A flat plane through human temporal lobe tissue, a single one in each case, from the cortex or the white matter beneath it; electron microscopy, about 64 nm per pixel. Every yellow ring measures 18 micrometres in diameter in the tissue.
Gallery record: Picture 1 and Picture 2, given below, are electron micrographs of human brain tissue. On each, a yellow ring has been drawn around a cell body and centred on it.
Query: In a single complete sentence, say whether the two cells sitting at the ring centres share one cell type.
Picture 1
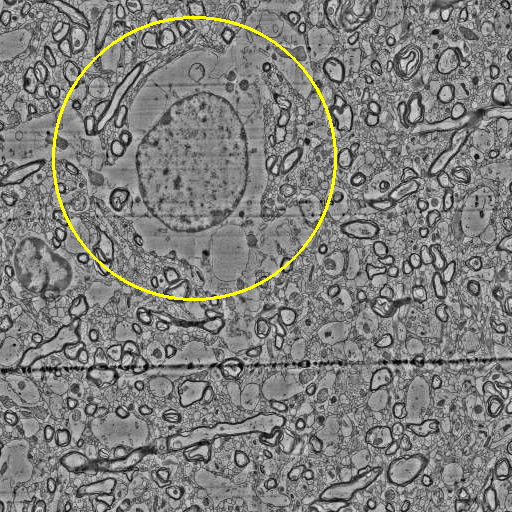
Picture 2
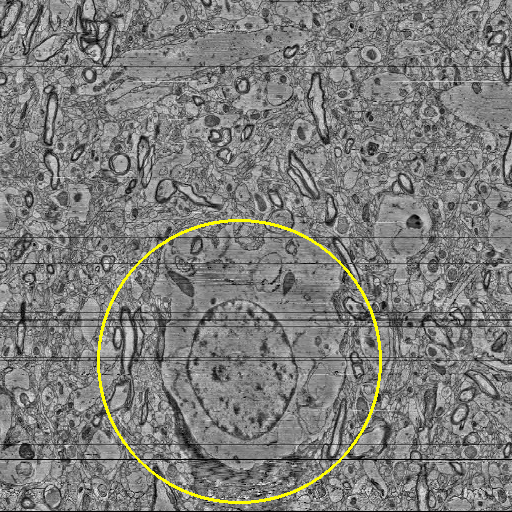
Yes, in both pictures the cell at the ring's centre is of one and the same type.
